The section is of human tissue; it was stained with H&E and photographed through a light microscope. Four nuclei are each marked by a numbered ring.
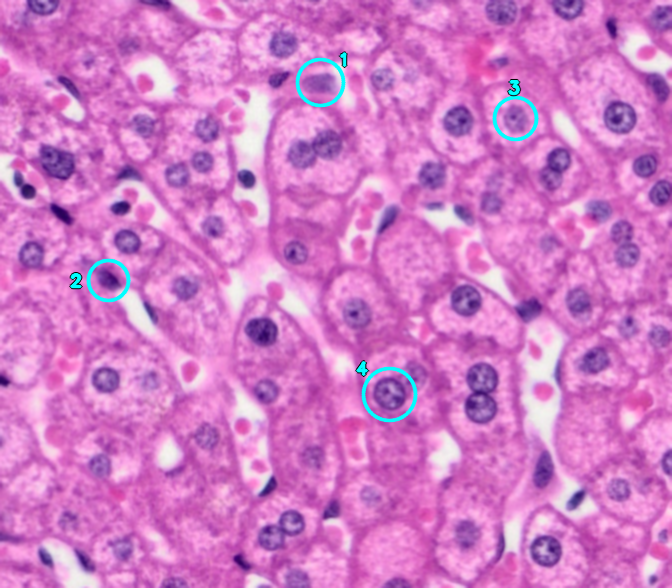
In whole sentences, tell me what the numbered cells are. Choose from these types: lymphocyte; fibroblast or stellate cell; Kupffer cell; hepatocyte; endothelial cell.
Cell 1 is a Kupffer cell, cell 2 is a fibroblast or stellate cell, cell 3 is a hepatocyte and cell 4 is a hepatocyte.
